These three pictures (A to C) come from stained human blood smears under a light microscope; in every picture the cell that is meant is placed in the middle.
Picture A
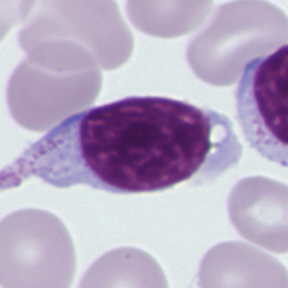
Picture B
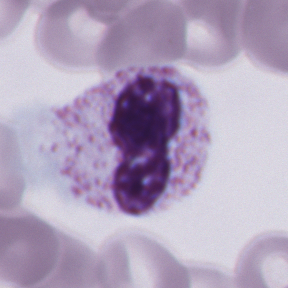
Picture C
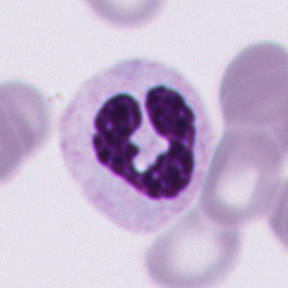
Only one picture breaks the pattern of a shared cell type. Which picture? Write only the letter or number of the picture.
A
